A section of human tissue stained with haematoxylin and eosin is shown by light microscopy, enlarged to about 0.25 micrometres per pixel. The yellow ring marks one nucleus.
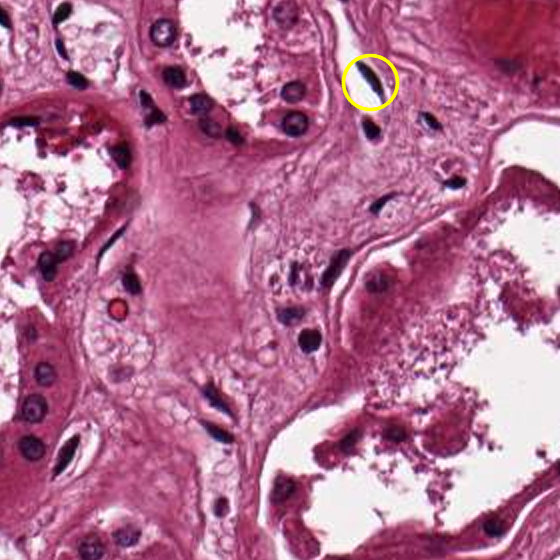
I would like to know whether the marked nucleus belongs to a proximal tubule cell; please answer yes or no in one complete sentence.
No, the marked nucleus sits in a supporting cell; a proximal tubule cell does not contain it.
